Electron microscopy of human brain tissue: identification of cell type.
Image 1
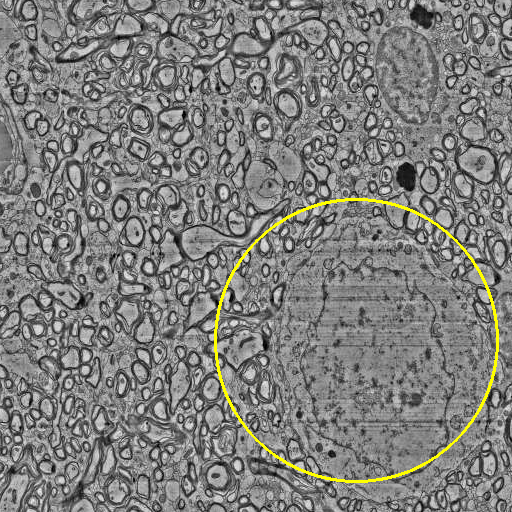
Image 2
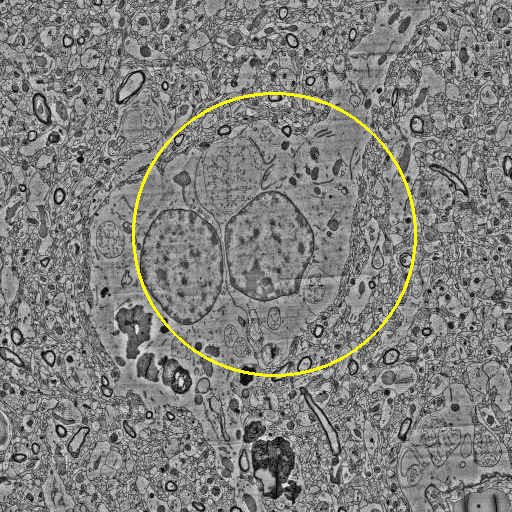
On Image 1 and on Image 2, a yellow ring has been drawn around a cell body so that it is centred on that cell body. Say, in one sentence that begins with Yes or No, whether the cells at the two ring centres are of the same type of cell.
No, the two cells are two separate types of cell.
